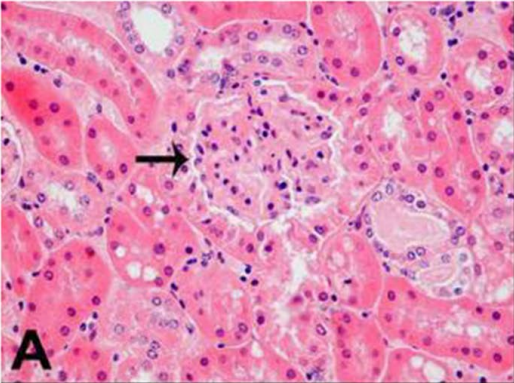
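Kidney cortex with a glomerulus in the centre, surrounded by cross-sectioned tubules. The glomerulus is a round tuft of capillary loops with many small dark nuclei, enclosed by a thin capsule with a narrow clear space between tuft and capsule. Around it, tubules with bright pink, granular cytoplasm and round, centrally placed nuclei form rings around small lumens; some of these cells contain clear cytoplasmic vacuoles. Other tubules have paler cytoplasm and more open lumens. Thin strands of interstitium with scattered flattened nuclei lie between the tubules.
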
